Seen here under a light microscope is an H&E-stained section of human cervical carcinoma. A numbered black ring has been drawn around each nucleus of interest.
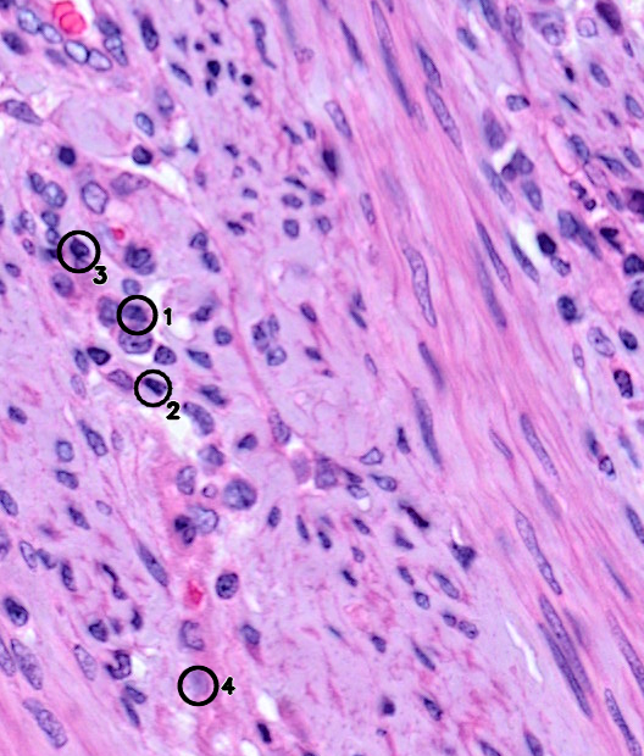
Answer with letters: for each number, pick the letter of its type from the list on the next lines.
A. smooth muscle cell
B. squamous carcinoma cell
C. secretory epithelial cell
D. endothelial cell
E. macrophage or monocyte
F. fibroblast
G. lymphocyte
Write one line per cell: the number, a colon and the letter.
1: G
2: G
3: G
4: D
